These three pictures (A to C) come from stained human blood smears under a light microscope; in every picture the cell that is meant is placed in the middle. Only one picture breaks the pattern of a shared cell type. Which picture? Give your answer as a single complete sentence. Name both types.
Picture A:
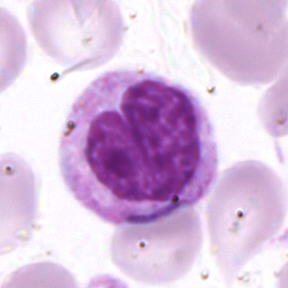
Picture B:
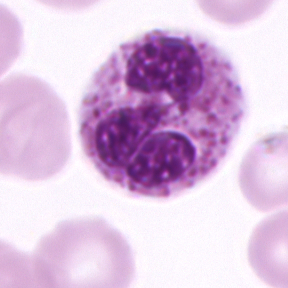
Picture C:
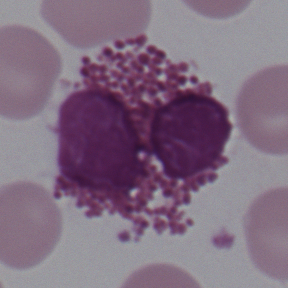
The others show eosinophils, but picture A shows a band neutrophil.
